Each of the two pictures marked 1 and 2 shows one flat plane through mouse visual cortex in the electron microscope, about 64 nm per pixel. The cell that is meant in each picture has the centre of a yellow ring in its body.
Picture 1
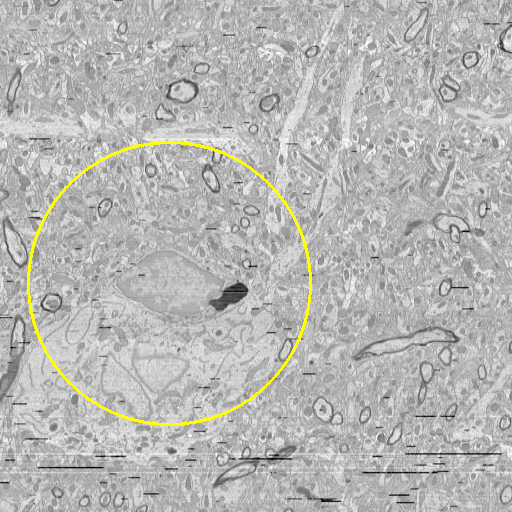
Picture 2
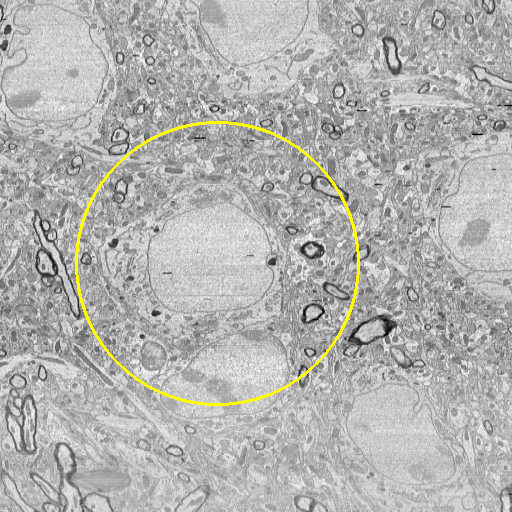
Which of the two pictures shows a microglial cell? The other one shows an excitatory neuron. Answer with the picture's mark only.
1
